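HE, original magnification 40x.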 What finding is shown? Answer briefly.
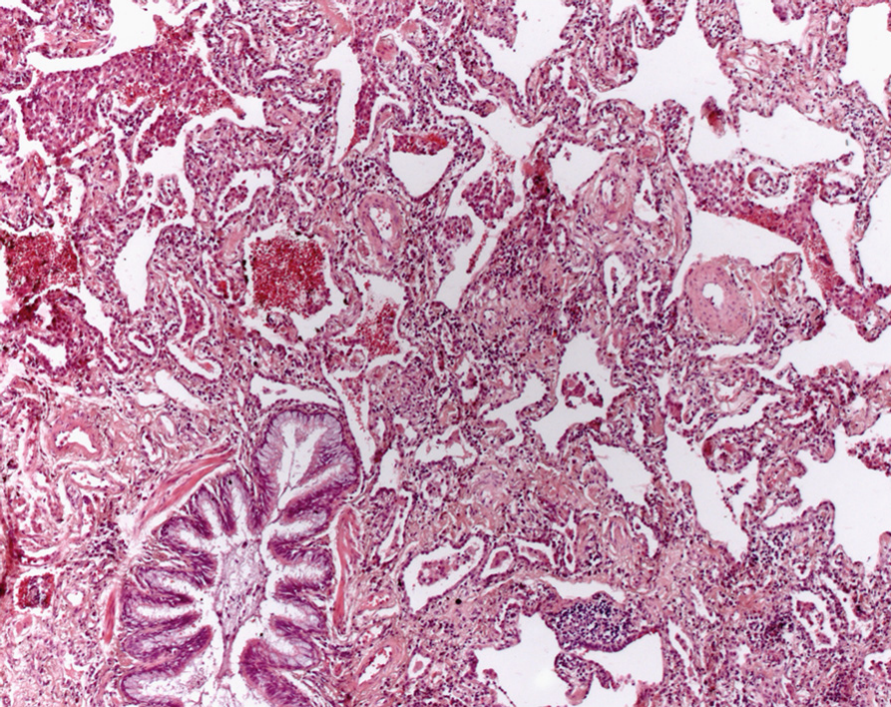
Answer: Mesh-like fibrosis of the alveolar septa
